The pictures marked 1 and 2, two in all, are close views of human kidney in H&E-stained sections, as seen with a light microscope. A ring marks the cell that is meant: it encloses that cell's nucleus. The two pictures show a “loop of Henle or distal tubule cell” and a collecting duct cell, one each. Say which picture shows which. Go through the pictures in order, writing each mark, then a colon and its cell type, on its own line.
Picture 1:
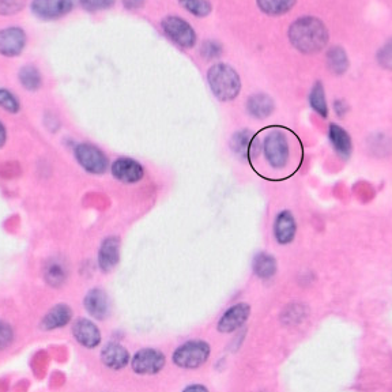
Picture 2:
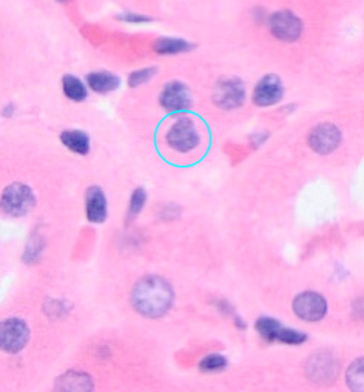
1: collecting duct cell
2: loop of Henle or distal tubule cell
